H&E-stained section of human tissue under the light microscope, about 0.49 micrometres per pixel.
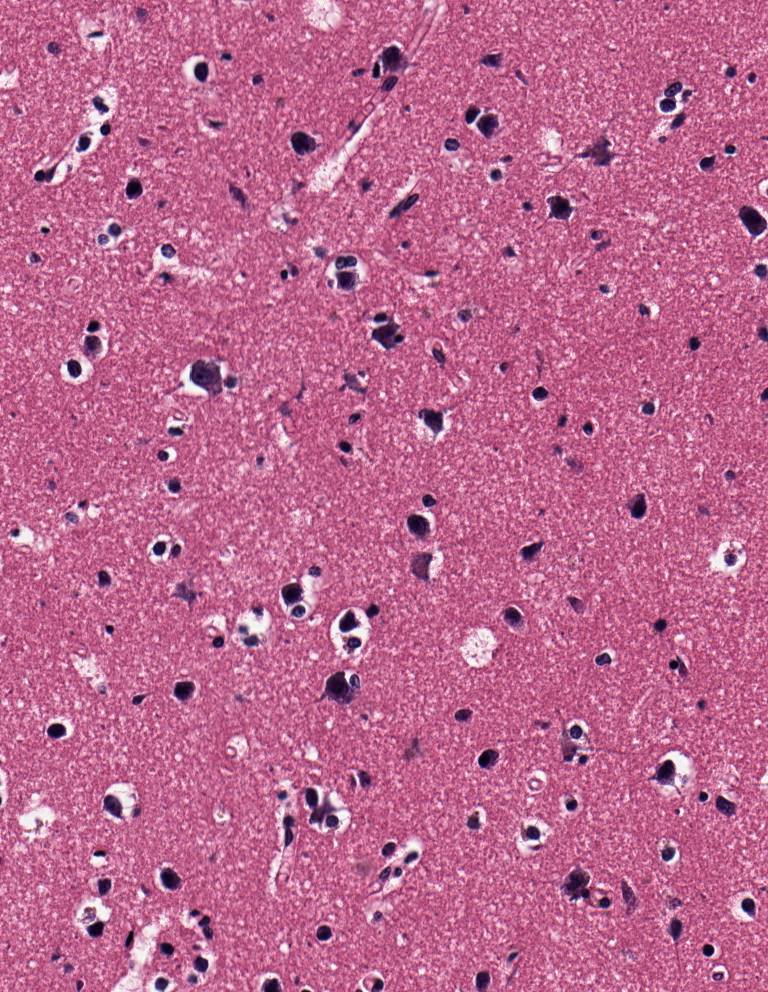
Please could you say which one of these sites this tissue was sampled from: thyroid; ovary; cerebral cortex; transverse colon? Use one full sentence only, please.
This tissue section originates from the cerebral cortex.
